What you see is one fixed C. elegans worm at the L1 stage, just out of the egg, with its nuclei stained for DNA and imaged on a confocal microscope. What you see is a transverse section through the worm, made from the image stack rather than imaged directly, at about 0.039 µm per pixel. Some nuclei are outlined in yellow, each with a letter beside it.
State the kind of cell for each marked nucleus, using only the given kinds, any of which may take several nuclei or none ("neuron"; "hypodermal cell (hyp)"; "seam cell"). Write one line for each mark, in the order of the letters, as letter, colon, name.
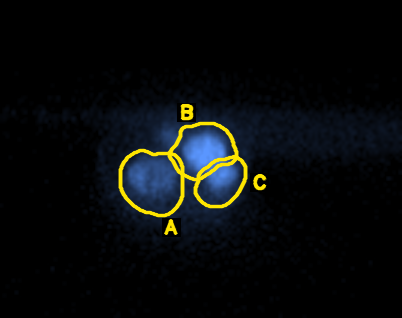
A: seam cell
B: neuron
C: hypodermal cell (hyp)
